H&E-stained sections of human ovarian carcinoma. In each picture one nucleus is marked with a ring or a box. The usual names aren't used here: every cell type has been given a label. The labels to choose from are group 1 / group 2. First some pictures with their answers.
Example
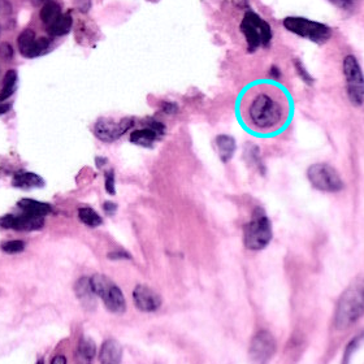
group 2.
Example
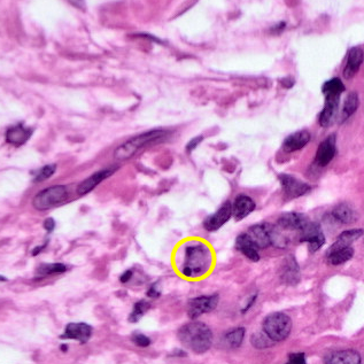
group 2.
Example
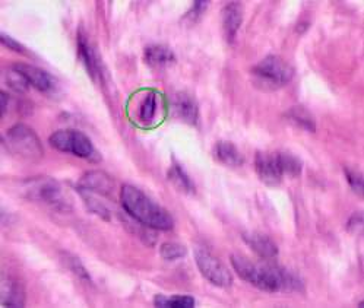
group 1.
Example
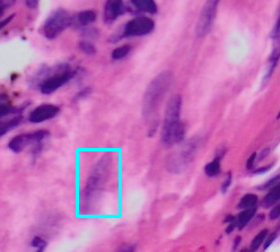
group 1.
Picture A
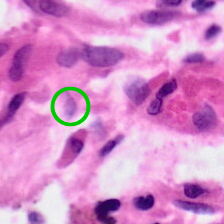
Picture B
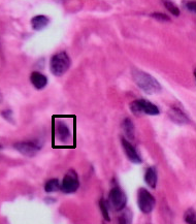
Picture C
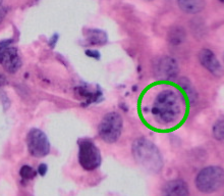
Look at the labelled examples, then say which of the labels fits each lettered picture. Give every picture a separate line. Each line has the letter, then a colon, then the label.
A: group 1.
B: group 1.
C: group 2.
